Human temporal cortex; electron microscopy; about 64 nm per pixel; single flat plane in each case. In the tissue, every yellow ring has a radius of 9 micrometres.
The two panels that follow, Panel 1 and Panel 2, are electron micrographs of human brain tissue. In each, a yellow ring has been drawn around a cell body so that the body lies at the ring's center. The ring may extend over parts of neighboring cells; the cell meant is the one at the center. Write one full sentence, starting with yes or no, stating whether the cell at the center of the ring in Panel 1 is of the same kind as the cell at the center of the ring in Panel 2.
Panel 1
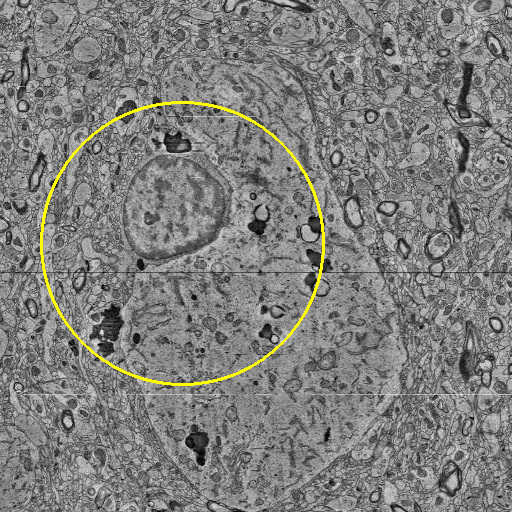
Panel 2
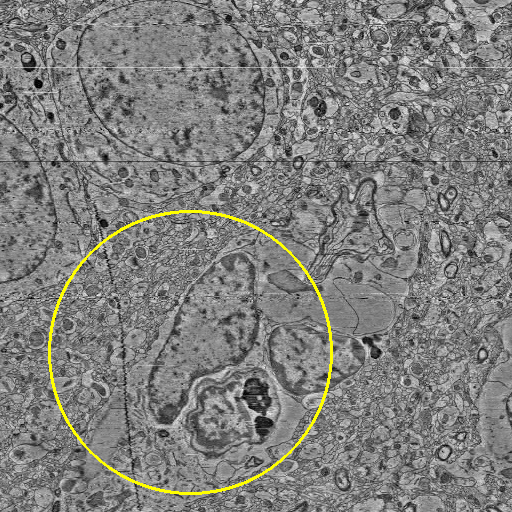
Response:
No, the cells in the two panels are of two kinds.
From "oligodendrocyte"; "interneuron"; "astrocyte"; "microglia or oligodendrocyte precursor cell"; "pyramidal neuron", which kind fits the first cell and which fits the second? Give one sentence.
The cell marked in the first picture is an oligodendrocyte, and the one marked in the second is a microglial cell or oligodendrocyte precursor cell.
